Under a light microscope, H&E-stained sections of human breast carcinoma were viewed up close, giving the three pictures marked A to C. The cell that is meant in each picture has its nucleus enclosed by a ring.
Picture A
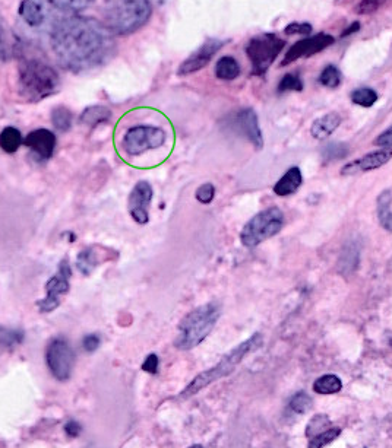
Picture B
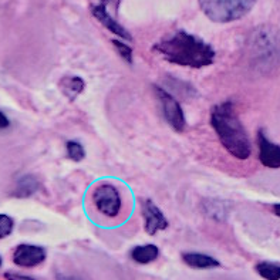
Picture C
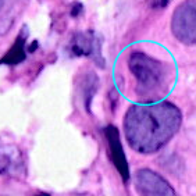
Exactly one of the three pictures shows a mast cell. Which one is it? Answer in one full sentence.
It is picture B that shows the mast cell.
